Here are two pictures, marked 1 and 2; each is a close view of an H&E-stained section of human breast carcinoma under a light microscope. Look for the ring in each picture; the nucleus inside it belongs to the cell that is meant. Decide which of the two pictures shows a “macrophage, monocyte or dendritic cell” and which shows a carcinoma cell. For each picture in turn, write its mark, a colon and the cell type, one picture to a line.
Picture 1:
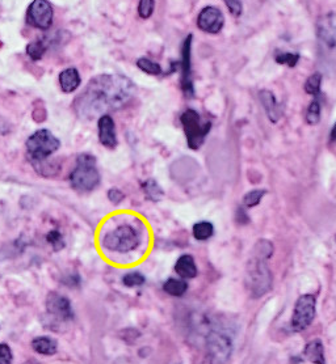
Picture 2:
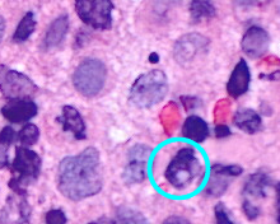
1: macrophage, monocyte or dendritic cell
2: carcinoma cell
